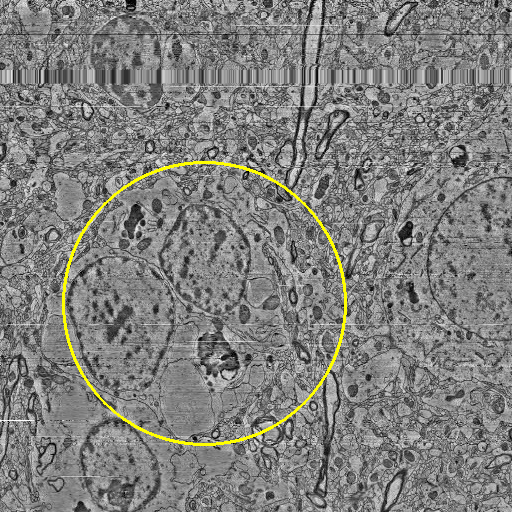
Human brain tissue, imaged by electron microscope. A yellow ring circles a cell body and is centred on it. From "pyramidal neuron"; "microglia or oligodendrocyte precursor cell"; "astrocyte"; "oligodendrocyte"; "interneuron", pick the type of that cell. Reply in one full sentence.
The cell body at the centre of the yellow ring belongs to an astrocyte.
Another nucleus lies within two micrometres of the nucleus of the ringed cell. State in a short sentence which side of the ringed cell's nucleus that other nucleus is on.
That other nucleus is to the lower left of it.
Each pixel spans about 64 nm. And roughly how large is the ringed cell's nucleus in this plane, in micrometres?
In this plane the nucleus measures roughly 7 by 6 micrometers.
